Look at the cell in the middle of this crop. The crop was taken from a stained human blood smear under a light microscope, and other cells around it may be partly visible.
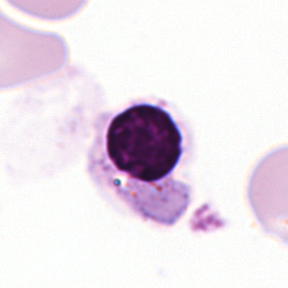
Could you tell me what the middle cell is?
erythroblast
